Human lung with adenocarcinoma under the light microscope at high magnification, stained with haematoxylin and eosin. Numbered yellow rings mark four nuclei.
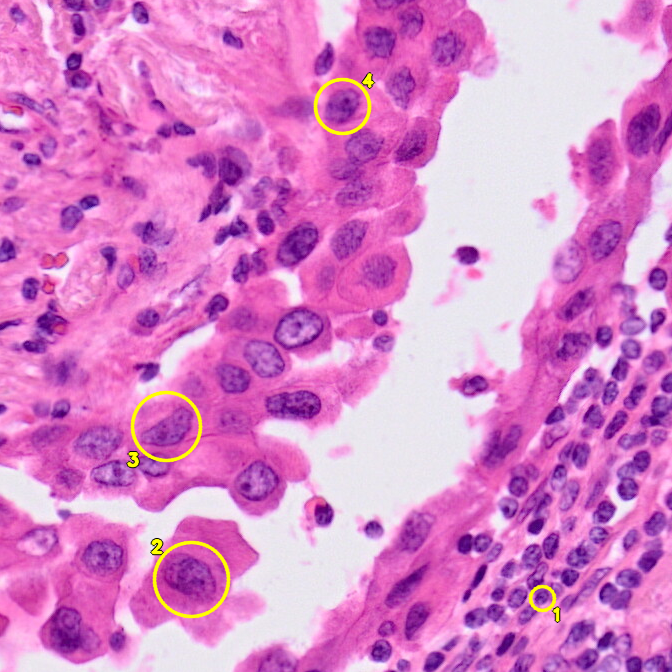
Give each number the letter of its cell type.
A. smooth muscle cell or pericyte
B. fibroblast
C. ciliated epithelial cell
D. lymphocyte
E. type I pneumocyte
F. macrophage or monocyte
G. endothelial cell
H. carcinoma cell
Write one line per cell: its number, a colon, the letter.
1: D
2: H
3: H
4: H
